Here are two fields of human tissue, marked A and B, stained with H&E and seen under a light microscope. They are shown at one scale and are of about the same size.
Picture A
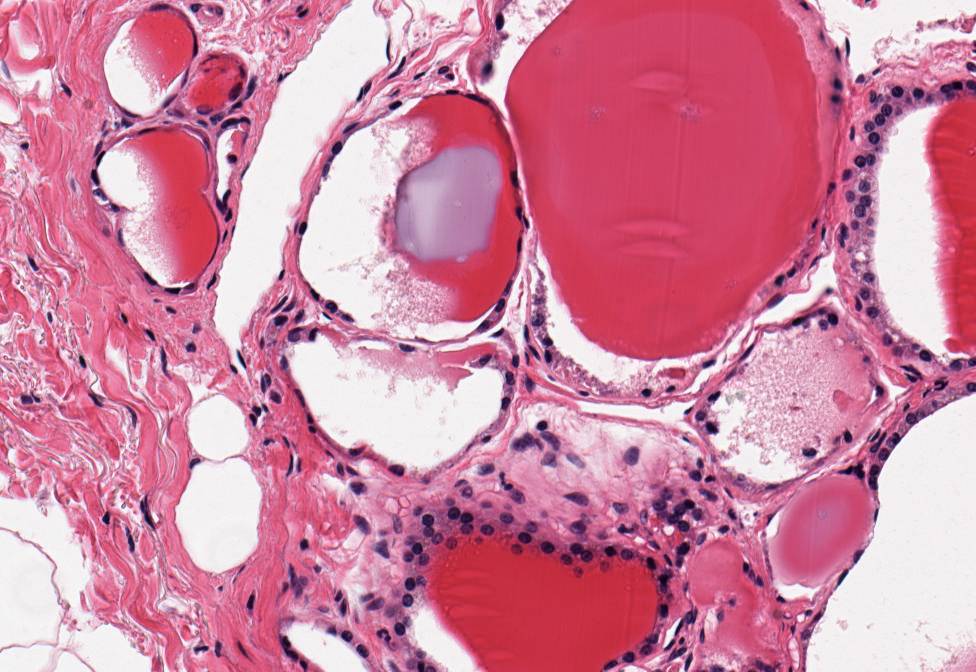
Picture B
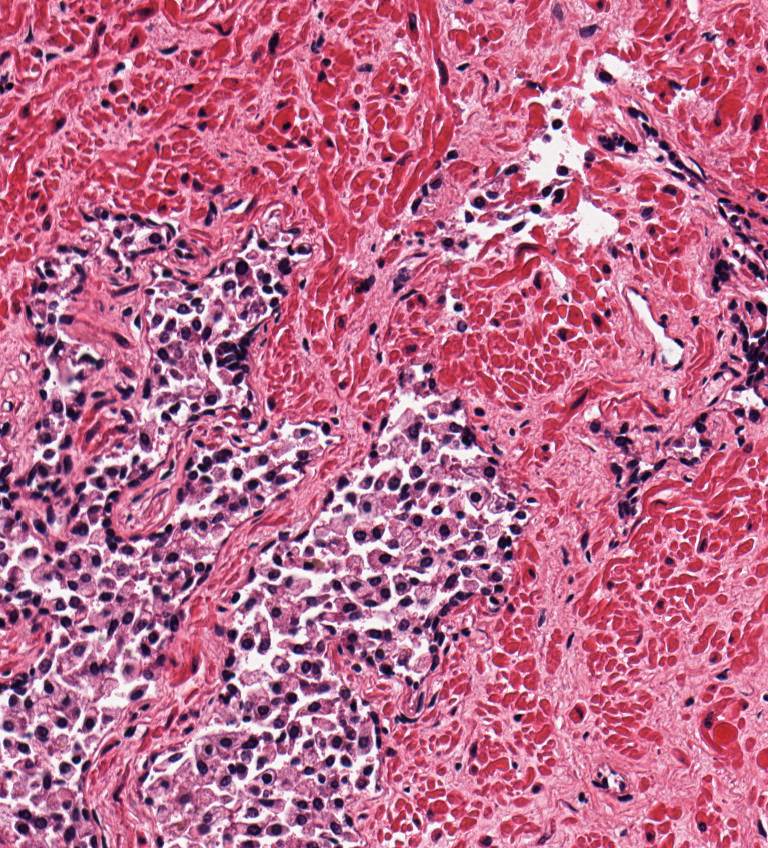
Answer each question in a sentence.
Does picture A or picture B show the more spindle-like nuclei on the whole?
Longer, more slender nuclei lie in picture A.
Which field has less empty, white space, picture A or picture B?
Less of picture B is empty and white.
